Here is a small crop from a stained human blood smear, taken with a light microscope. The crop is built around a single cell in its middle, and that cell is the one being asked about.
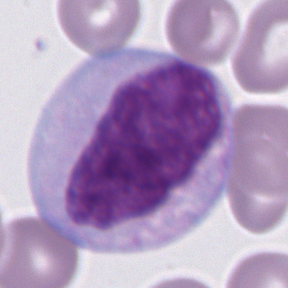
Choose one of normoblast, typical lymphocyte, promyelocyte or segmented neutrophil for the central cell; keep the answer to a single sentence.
The central cell, amid any neighbouring cells, is a promyelocyte.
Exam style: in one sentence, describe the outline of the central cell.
No surface projections are present; the cell outline is smooth.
